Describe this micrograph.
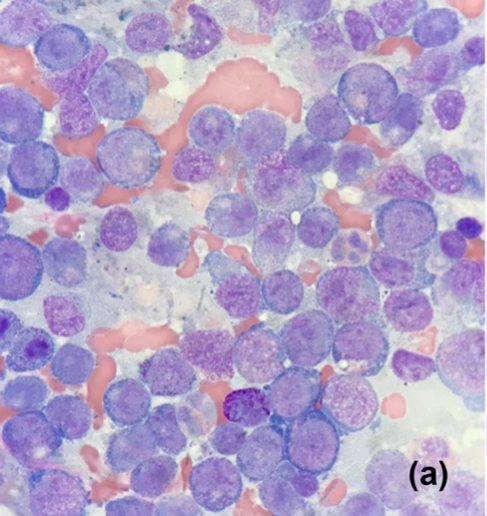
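This bone marrow aspirate is packed with immature blast cells lying side by side, with only small pools of pink red cells in between. The blasts are large round cells, each with a big round nucleus that fills most of the cell. The nuclear chromatin is fine and open, giving the nuclei a pale, vesicular look, and some show small nucleoli.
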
